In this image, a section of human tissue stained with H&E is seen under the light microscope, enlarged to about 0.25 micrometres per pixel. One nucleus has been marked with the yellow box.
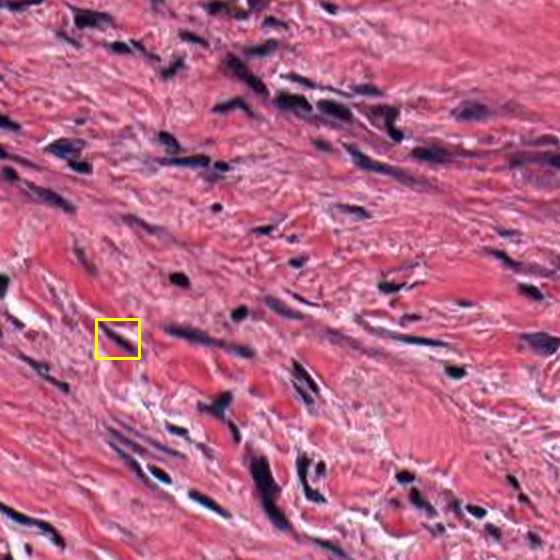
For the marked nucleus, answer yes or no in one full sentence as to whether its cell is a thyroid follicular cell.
No, rather than to a thyroid follicular cell, the marked nucleus belongs to a supporting cell.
